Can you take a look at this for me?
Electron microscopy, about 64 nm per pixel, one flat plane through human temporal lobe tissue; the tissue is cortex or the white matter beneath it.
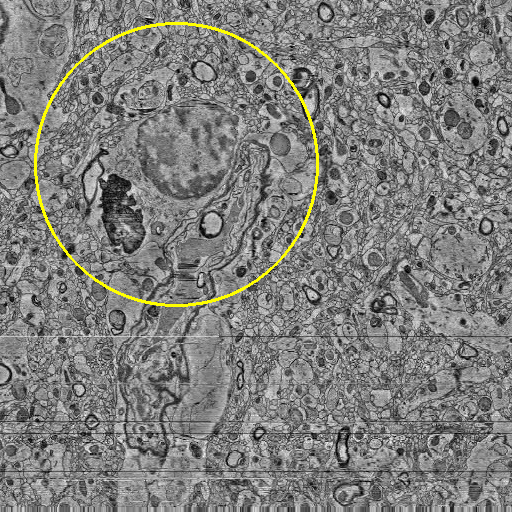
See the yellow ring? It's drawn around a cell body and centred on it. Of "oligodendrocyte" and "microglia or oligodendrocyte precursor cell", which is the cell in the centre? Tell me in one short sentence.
The one in the centre is an oligodendrocyte.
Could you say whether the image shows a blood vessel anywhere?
Yes.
